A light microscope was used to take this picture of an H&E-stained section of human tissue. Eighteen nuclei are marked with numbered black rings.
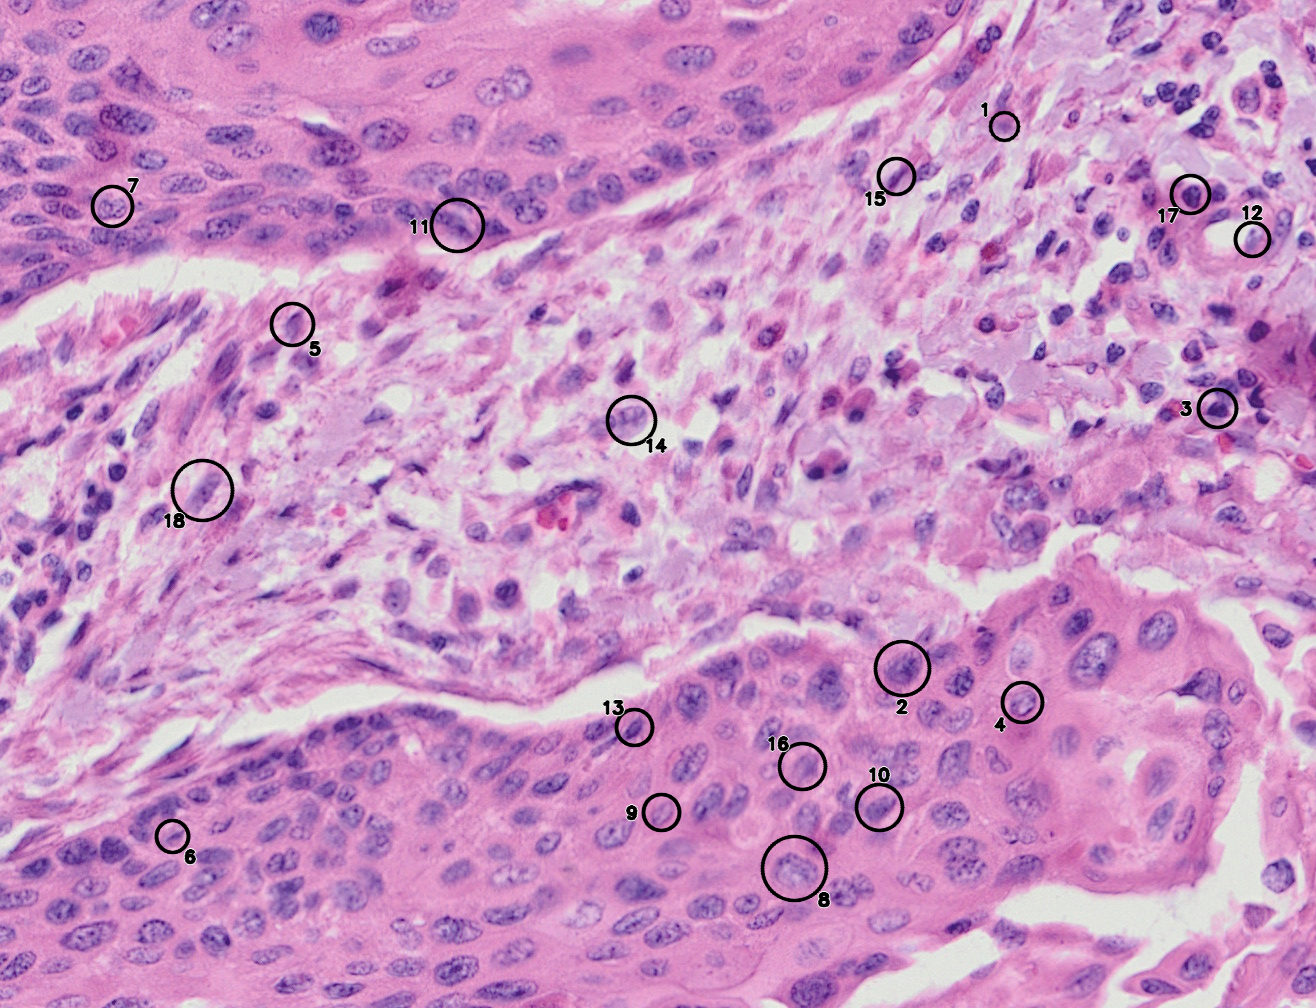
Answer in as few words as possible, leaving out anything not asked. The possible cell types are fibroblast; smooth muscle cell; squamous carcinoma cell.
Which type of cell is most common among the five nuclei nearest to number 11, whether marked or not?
squamous carcinoma cell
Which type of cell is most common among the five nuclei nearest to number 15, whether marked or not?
fibroblast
